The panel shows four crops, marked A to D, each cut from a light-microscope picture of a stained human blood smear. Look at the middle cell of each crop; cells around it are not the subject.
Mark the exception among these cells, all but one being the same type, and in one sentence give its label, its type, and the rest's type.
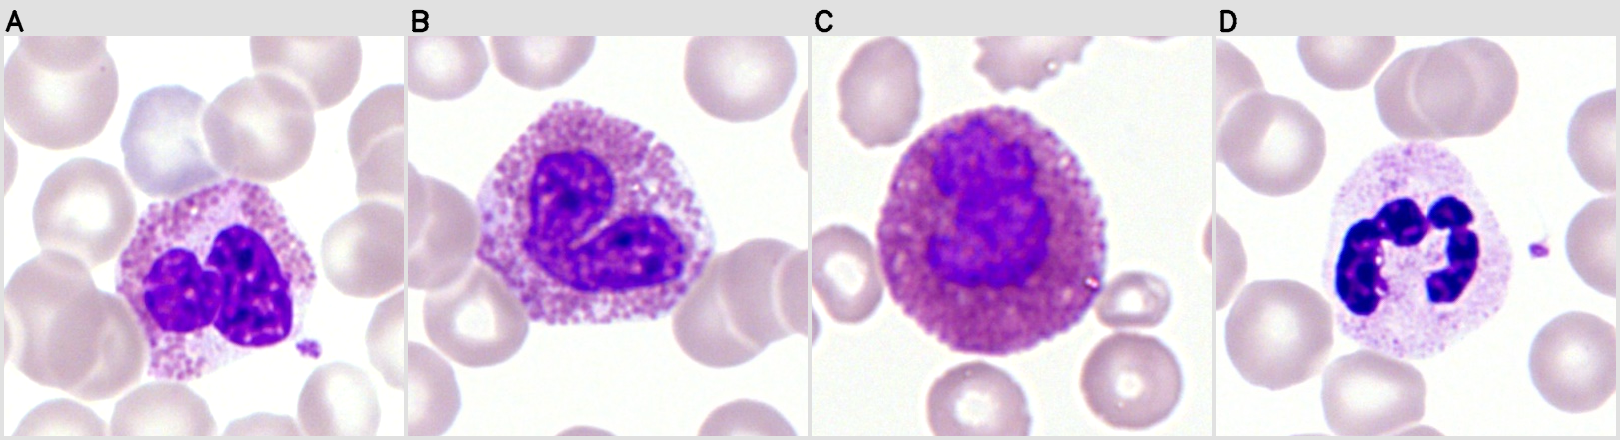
Among the crops, crop D is unique in showing a segmented neutrophil; the others show eosinophils.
